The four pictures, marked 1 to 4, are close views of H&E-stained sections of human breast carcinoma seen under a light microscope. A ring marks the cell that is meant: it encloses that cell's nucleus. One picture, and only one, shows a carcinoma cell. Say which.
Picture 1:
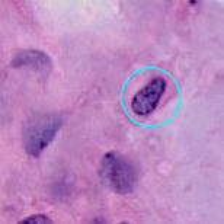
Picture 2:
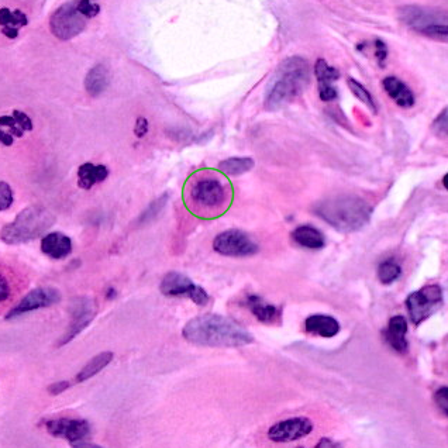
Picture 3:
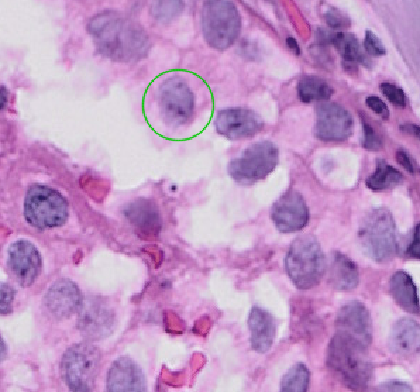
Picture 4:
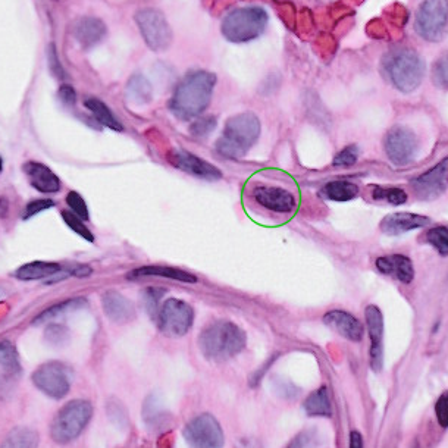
3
